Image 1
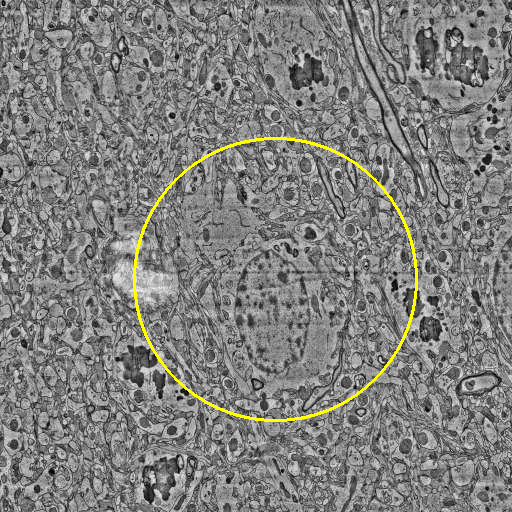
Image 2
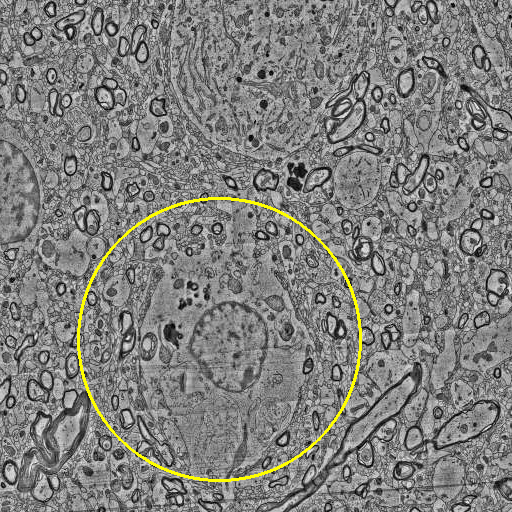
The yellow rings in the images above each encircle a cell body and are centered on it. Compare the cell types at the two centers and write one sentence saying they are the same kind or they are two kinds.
Taken together, the two cells at the ring centers are the same kind.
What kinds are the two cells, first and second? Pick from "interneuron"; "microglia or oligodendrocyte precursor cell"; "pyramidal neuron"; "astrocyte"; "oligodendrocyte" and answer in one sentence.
Both rings mark an astrocyte, one in each picture.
